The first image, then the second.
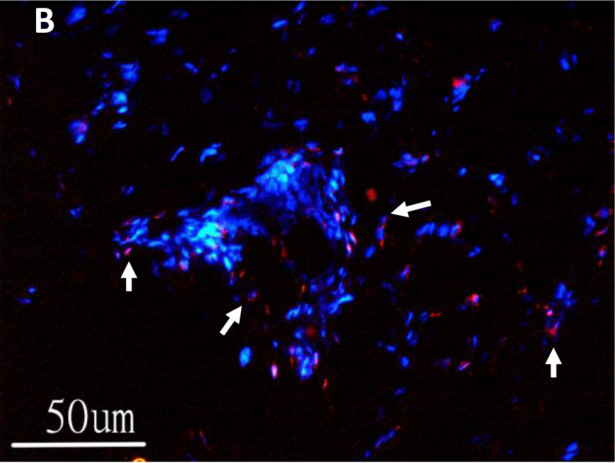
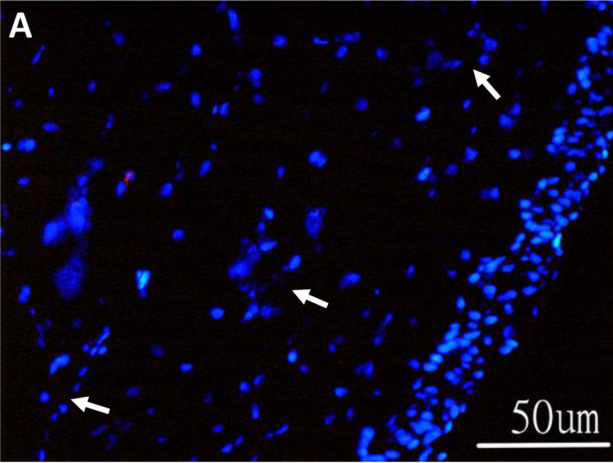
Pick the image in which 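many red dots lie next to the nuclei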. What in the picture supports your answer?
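First image: numerous small red dots sit beside blue nuclei throughout the field. Second image: blue nuclei with almost no red dots. The answer: the first image.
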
